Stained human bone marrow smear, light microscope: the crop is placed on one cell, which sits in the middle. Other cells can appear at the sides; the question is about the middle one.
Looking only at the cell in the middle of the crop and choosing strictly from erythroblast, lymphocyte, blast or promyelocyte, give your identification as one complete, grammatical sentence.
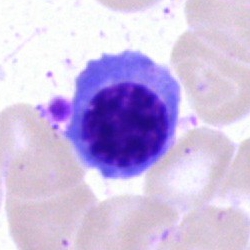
The cell featured at the centre of this crop is an erythroblast.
